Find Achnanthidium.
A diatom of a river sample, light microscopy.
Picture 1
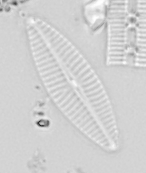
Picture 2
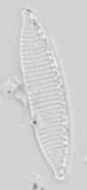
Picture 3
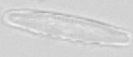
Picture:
3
